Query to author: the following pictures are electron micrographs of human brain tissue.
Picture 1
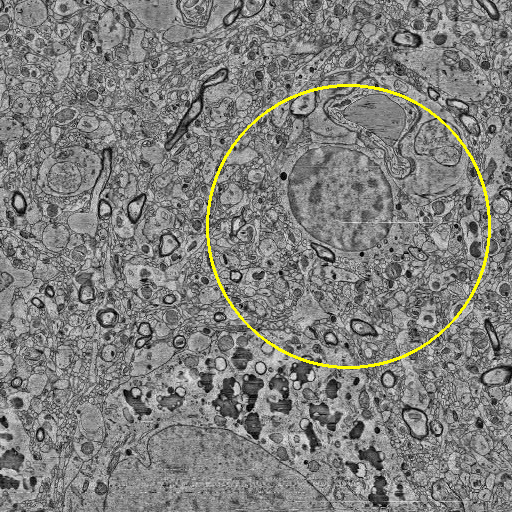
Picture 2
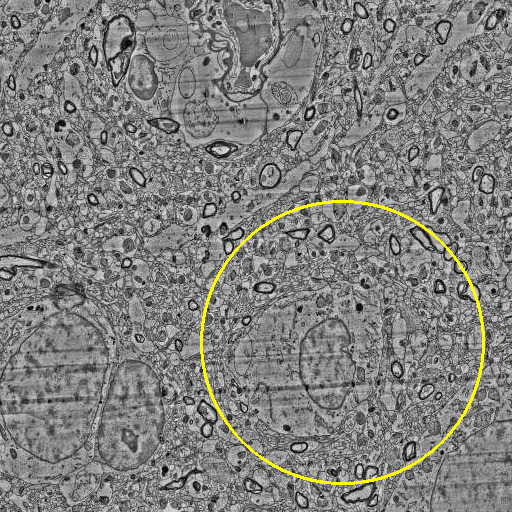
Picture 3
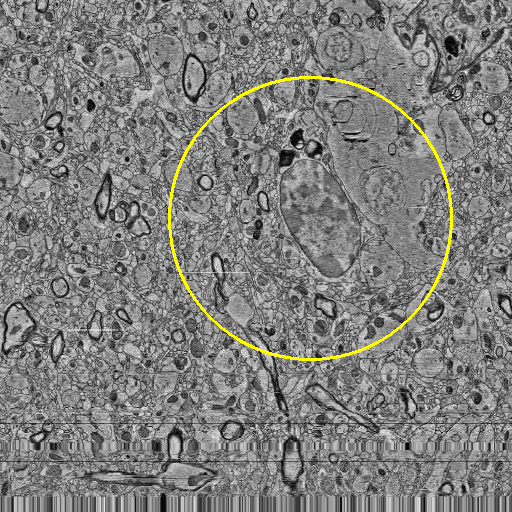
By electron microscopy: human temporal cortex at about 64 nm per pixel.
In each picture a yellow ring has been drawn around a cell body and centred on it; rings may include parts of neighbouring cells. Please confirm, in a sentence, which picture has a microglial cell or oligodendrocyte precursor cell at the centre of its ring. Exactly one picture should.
Picture 3 has it at the centre of its ring.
